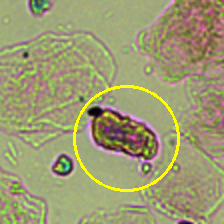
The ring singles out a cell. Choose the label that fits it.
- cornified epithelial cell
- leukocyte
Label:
cornified epithelial cell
